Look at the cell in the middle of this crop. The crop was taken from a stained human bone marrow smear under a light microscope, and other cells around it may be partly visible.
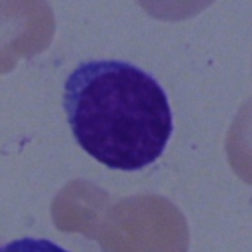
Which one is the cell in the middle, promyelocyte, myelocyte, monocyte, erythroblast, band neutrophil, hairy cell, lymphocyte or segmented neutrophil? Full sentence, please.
The middle of this crop holds a lymphocyte.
